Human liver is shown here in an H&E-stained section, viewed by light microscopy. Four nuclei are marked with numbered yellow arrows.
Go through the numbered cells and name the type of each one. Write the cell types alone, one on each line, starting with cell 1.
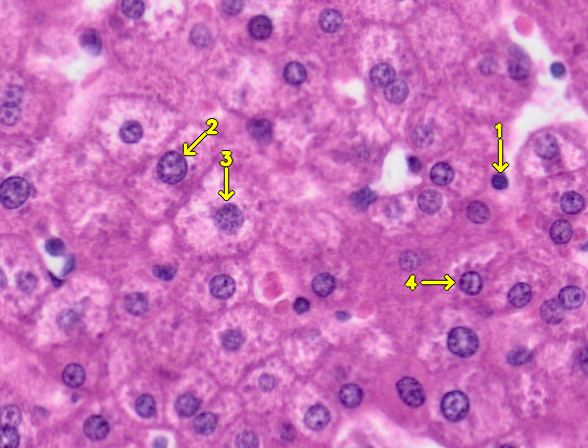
lymphocyte
hepatocyte
hepatocyte
hepatocyte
